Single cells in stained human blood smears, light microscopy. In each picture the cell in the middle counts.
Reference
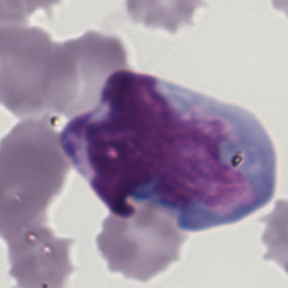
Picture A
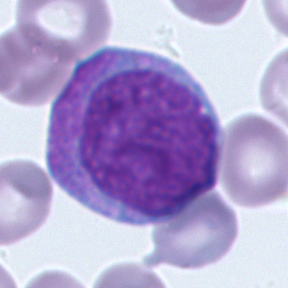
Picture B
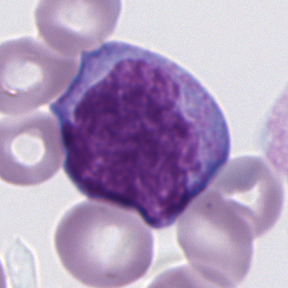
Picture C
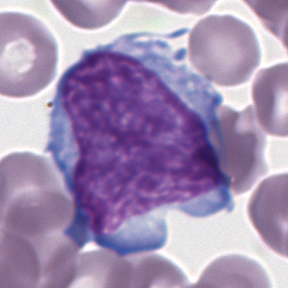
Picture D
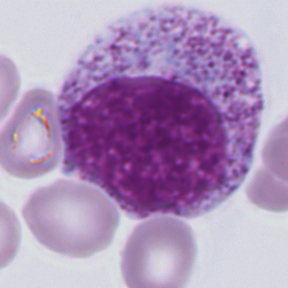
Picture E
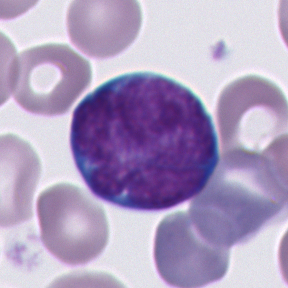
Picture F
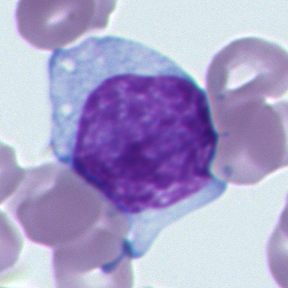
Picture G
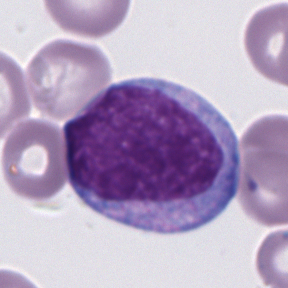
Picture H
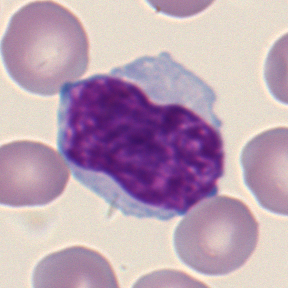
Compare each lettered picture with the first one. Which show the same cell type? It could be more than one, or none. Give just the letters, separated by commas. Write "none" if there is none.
C, E, F, H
